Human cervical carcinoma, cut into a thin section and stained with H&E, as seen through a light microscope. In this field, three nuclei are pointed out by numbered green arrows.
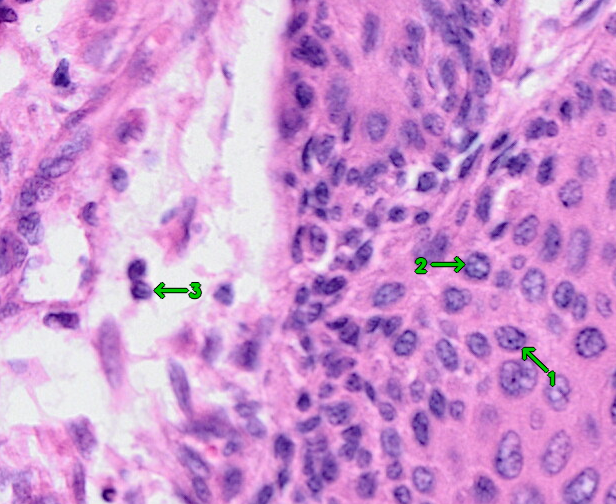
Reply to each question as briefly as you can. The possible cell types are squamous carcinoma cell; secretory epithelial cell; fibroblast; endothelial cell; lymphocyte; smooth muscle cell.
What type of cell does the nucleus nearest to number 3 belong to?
lymphocyte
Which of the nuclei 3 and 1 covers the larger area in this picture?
1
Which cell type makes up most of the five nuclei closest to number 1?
squamous carcinoma cell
